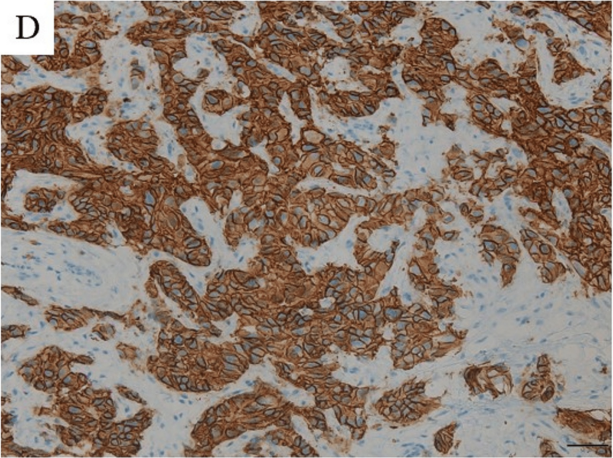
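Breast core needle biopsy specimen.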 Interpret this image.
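Sheets and irregular nests of tumour cells are each outlined by a strong brown rim, giving a chicken-wire pattern, while their nuclei stay pale blue. The pale blue stroma between the nests is unstained. The tumour cells show strong membrane staining.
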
